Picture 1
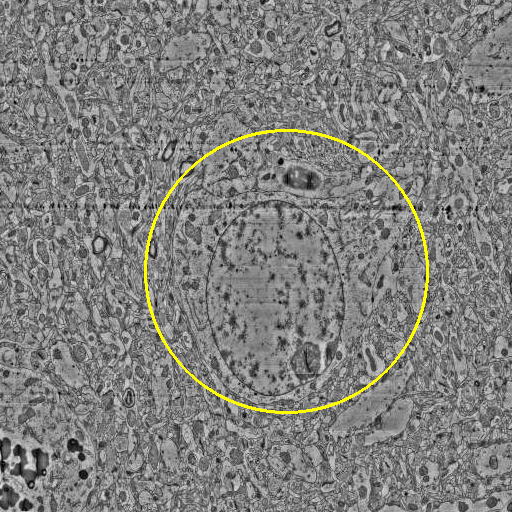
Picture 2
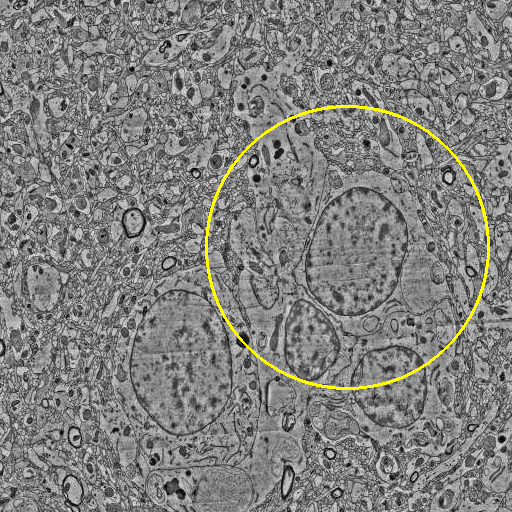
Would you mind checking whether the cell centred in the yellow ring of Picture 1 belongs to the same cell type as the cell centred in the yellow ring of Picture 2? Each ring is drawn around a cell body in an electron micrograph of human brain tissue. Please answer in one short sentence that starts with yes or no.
No, the two cells are of two types.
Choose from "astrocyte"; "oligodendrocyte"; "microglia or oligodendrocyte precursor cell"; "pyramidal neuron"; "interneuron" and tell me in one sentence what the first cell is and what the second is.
What the first ring is centred on is a pyramidal neuron; what the second ring is centred on is an astrocyte.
